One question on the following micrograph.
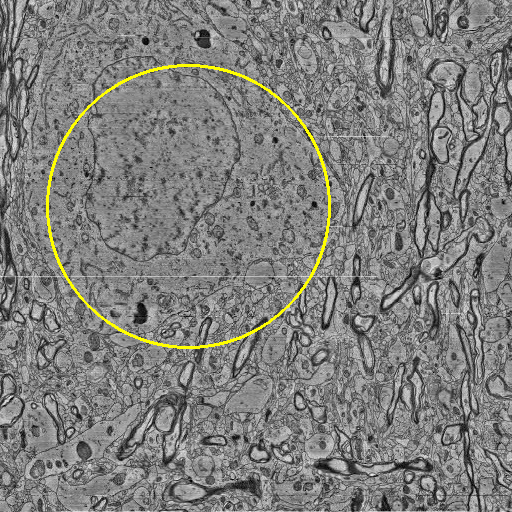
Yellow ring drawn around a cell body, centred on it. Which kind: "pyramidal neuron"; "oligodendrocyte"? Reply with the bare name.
pyramidal neuron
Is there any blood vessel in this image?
No, no blood vessel can be seen.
